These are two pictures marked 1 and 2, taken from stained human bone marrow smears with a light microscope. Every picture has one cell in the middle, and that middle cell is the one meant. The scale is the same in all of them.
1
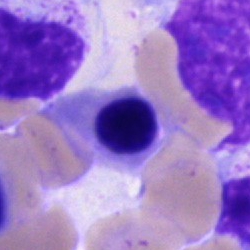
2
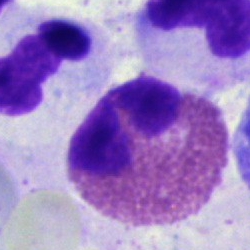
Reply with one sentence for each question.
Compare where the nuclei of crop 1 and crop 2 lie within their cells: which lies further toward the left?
Seen within its cell, the nucleus in crop 2 lies further toward the left.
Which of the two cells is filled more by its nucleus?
It is the cell in crop 1 that is filled more by its nucleus.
